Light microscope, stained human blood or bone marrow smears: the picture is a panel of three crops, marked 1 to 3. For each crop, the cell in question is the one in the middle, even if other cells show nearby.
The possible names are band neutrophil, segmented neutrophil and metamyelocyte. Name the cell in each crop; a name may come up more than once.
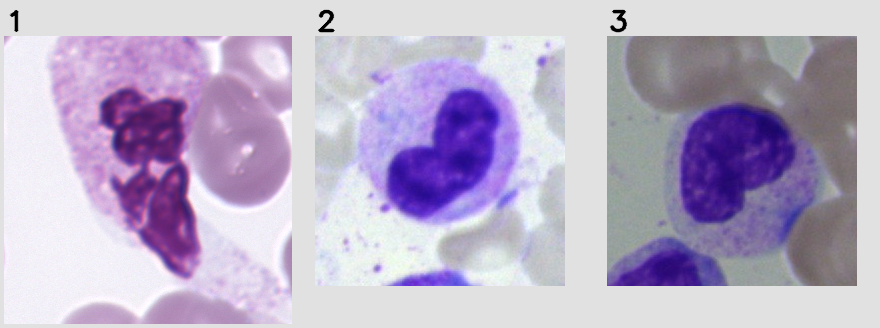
1: segmented neutrophil
2: band neutrophil
3: metamyelocyte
